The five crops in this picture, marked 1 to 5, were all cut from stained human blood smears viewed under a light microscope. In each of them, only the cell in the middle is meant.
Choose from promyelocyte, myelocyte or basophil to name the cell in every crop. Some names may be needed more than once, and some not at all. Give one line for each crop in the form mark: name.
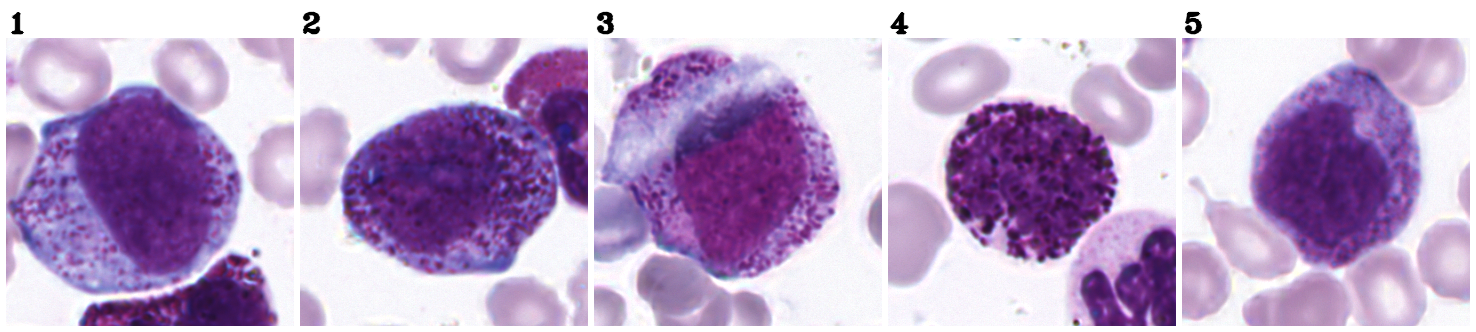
1: promyelocyte
2: promyelocyte
3: promyelocyte
4: basophil
5: promyelocyte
